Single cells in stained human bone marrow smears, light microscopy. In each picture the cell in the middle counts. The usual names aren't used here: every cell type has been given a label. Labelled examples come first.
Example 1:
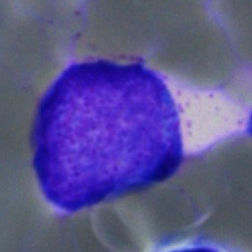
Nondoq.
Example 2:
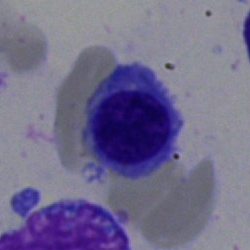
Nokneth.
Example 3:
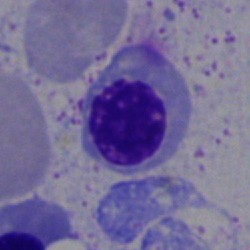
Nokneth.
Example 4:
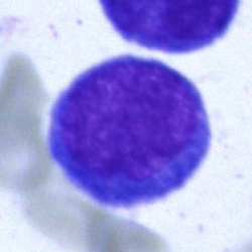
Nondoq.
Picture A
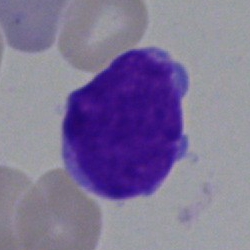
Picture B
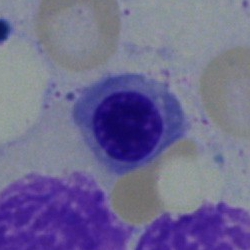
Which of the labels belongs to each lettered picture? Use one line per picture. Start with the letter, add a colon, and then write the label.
A: Nondoq.
B: Nokneth.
